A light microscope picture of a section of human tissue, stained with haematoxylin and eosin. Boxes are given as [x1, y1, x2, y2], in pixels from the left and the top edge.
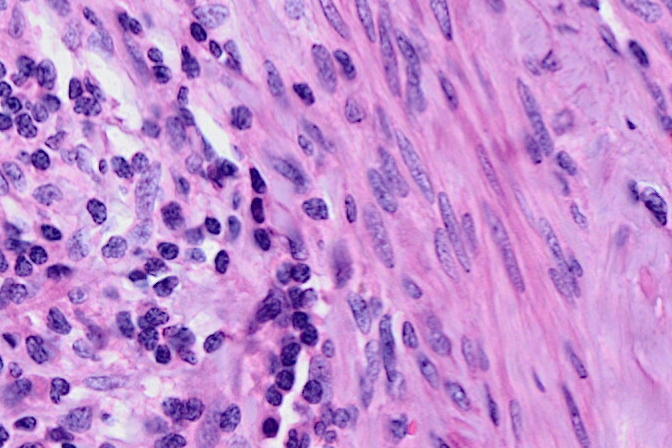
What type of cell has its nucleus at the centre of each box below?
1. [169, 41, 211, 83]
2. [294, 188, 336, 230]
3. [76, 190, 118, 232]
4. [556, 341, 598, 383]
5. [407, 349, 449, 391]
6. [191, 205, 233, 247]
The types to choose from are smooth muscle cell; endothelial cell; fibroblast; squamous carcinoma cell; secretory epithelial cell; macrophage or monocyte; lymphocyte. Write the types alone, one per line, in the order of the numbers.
lymphocyte
lymphocyte
lymphocyte
smooth muscle cell
smooth muscle cell
lymphocyte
